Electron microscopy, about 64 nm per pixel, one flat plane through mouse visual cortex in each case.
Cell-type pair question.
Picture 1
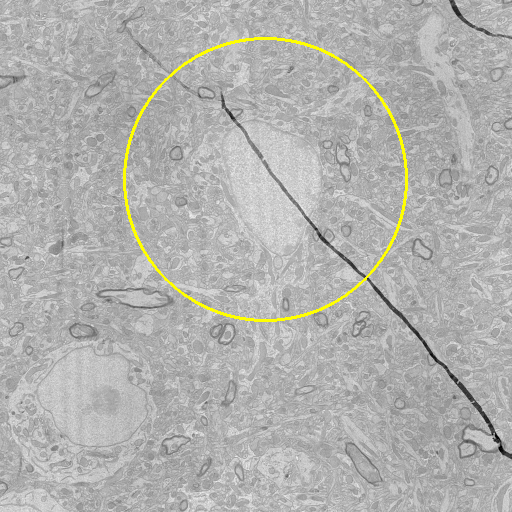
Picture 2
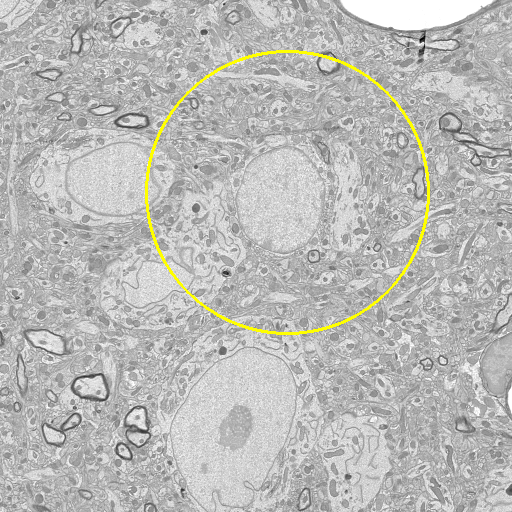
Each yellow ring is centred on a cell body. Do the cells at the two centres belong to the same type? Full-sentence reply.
Yes, the two cells belong to the same type.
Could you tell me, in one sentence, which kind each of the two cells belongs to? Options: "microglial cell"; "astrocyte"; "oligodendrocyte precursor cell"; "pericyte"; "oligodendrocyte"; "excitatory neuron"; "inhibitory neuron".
Both cells are the same kind, each one being an astrocyte.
